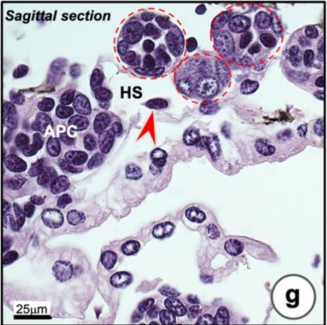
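Thin pink strands of connective tissue separate the clusters and outline open spaces. Within one such space lies a single small, isolated cell, apart from the packed clusters. Other rounded cells with pale cytoplasm and central nuclei line the spaces lower in the field.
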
